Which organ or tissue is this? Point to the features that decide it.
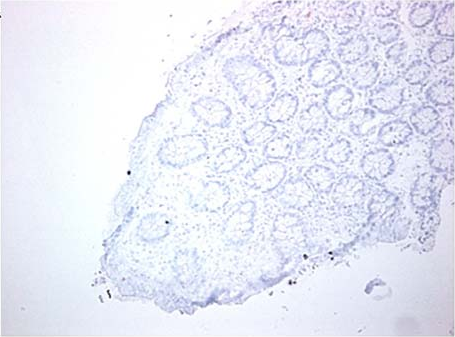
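Colon. Regular round crypts cut in cross-section are packed side by side. There are no villi. Only blue counterstain, no brown.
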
